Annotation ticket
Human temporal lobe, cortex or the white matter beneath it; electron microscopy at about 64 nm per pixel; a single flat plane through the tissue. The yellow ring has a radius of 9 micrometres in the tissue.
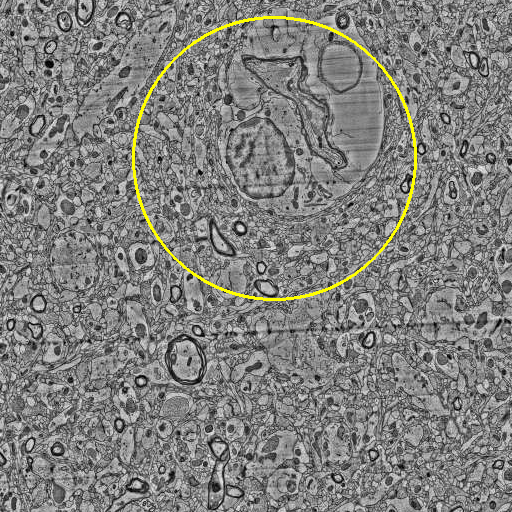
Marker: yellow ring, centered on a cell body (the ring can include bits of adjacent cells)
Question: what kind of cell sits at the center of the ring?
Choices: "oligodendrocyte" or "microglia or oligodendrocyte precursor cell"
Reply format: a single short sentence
The ring is centered on a microglial cell or oligodendrocyte precursor cell.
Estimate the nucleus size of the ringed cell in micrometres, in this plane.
The nucleus appears roughly 5 by 4 micrometres in this plane.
